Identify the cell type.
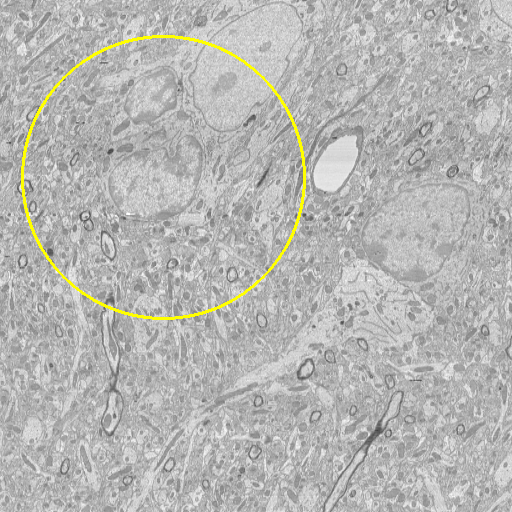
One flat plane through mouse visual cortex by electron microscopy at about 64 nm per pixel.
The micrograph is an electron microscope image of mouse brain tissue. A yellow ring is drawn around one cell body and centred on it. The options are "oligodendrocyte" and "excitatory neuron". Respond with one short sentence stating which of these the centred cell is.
The cell body in the ring belongs to an oligodendrocyte.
